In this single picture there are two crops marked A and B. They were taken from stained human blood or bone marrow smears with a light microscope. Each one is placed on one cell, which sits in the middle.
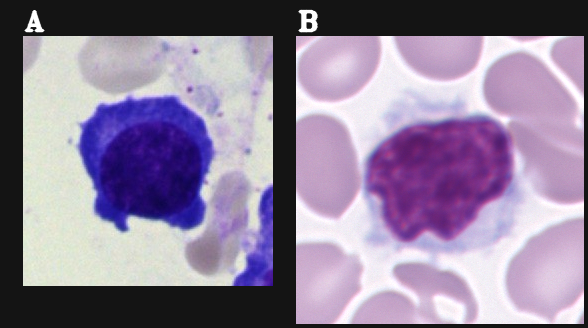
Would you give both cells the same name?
no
